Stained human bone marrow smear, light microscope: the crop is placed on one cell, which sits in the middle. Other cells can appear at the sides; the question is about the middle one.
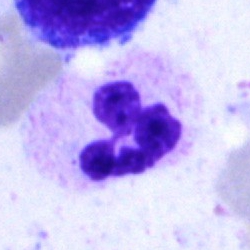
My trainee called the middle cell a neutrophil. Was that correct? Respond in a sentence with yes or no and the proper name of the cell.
Yes, a neutrophil occupies the middle of the crop.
